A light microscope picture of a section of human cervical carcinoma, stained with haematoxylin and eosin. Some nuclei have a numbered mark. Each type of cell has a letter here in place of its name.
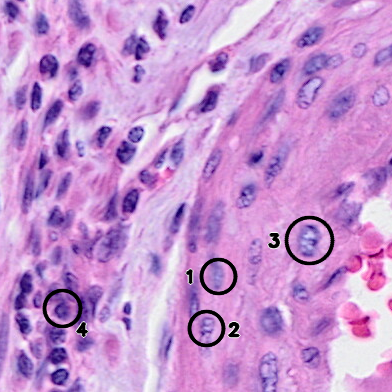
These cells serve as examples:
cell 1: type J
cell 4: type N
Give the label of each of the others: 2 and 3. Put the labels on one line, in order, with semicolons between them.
type J; type J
